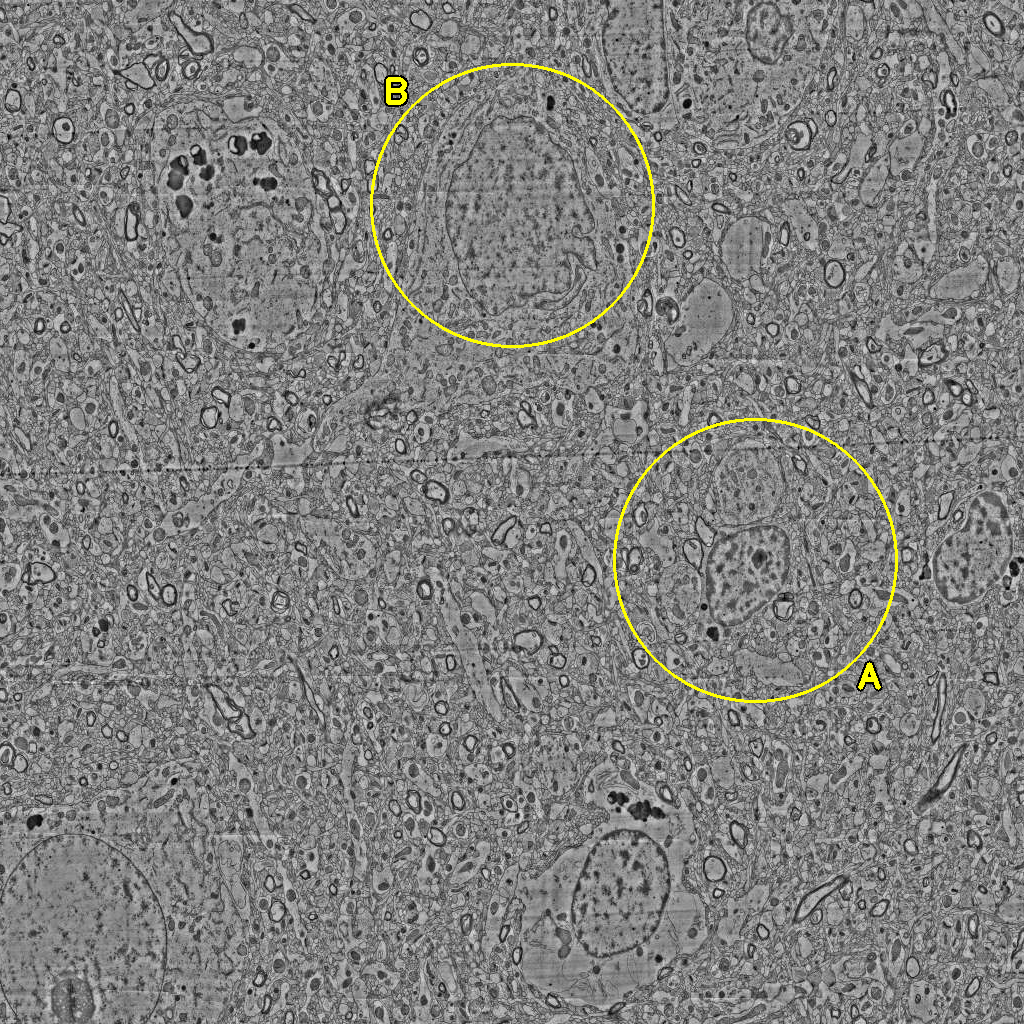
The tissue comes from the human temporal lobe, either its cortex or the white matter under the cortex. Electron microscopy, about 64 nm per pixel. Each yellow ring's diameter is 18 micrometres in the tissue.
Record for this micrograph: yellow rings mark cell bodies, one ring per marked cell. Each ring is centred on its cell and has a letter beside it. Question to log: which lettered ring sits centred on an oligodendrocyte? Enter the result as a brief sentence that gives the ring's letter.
Ring A holds it at its centre.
